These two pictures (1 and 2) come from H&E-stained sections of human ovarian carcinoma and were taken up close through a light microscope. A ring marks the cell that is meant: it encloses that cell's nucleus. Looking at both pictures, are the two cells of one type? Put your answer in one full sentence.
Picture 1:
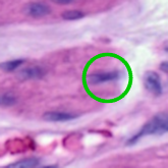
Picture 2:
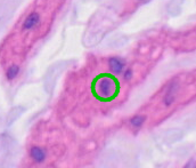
Yes, both cells are smooth muscle cells.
